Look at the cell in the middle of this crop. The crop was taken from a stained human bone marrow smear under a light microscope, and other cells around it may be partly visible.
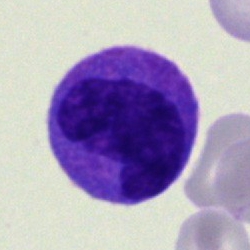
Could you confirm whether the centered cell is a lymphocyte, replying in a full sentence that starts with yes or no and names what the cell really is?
No, the cell at the centre is a monocyte, which rules out a lymphocyte.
